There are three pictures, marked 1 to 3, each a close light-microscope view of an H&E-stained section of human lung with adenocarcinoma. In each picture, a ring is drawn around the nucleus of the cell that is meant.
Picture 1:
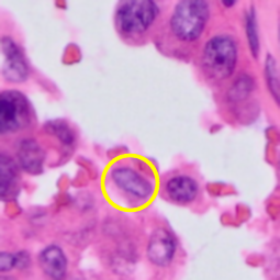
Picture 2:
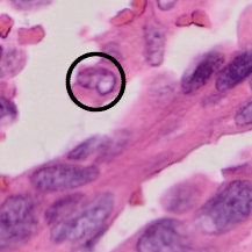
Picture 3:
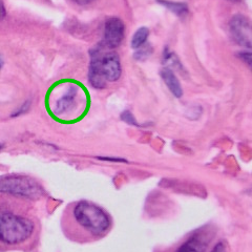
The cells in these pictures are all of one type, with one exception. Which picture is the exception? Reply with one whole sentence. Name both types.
Picture 3 is the odd one out: it shows a fibroblast, while the others show “macrophages or monocytes”.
